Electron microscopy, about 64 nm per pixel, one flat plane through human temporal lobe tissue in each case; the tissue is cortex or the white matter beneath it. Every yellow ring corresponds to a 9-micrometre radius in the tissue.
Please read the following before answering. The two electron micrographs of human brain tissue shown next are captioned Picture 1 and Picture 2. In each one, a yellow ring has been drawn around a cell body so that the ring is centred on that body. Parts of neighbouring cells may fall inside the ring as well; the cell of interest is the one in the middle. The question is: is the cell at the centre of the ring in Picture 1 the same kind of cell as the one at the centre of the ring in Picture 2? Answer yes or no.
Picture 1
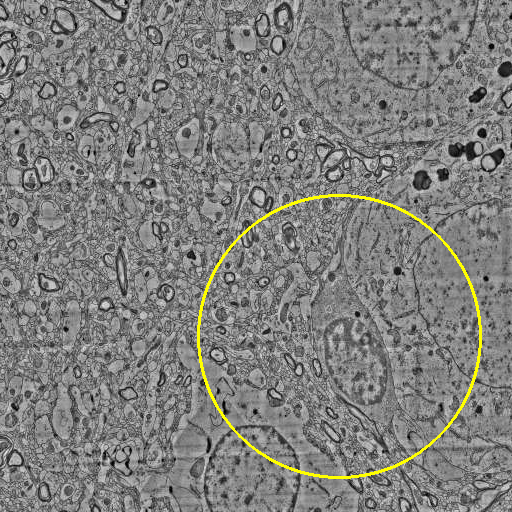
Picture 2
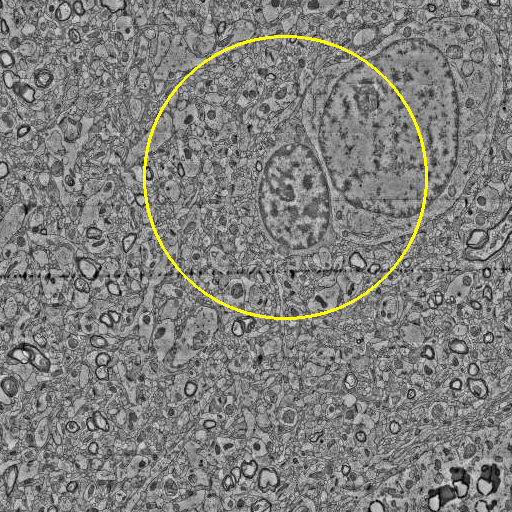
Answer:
yes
